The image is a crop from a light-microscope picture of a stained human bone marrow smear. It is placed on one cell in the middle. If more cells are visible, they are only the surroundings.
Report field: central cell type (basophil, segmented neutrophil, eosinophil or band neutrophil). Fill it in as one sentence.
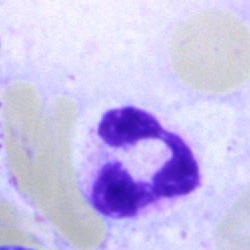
The cell the crop is centered on is a segmented neutrophil.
